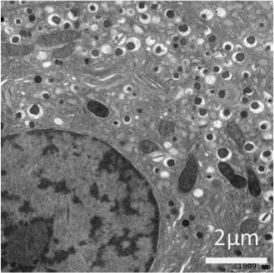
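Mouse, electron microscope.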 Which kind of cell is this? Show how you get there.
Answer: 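The cytoplasm is packed with many small round granules, each with a dark dense core inside a pale halo. A large nucleus with patchy dense chromatin fills the lower left. The answer: pancreatic beta-islet cells.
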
